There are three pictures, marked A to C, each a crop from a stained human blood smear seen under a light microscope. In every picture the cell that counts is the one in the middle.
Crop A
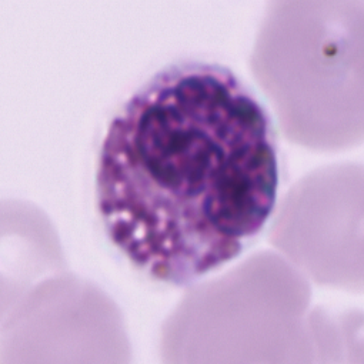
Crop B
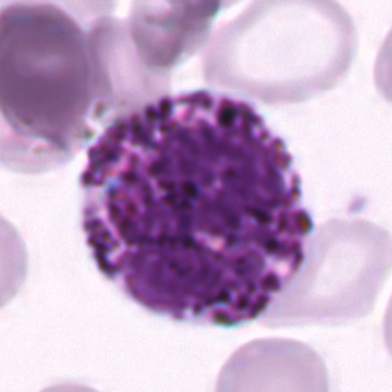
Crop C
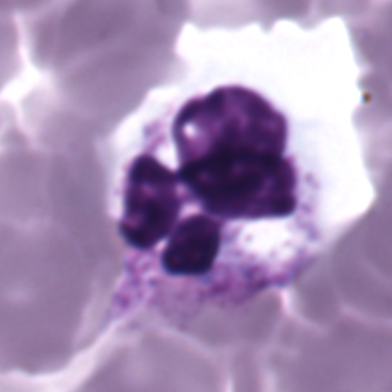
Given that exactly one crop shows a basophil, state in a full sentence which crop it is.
Crop B is the one in this set that shows a basophil.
